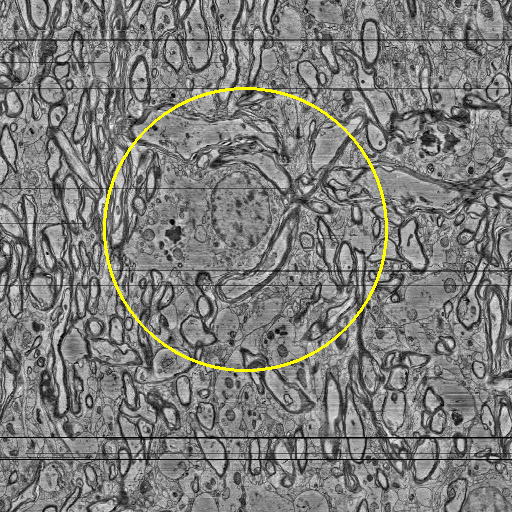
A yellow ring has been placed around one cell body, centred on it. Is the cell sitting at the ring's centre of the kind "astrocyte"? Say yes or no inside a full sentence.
Yes, the cell sitting at the centre of the yellow ring is of that kind.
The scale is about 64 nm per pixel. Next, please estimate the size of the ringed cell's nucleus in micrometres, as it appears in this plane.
The nucleus is approximately 6 micrometers long by 5 micrometers wide in this plane.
